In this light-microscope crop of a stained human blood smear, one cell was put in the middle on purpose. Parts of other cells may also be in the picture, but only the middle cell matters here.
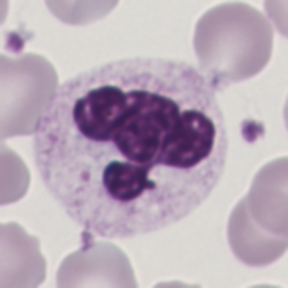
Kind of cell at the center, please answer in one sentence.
The cell that lies at the centre of the crop is a neutrophil.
